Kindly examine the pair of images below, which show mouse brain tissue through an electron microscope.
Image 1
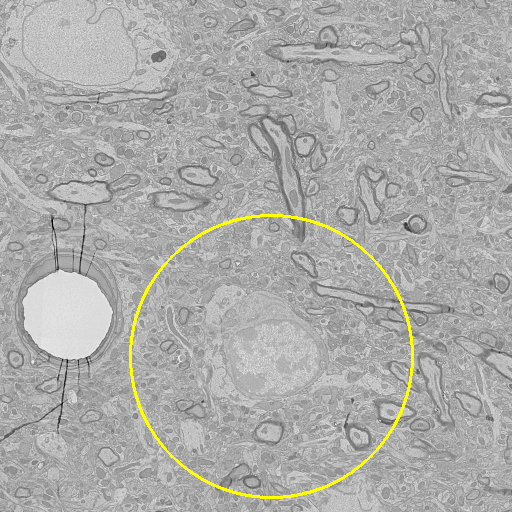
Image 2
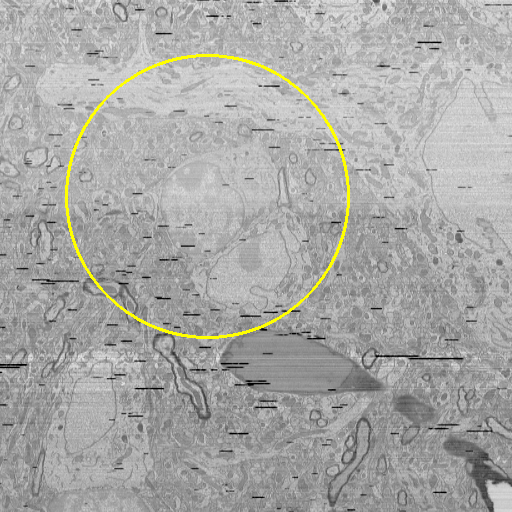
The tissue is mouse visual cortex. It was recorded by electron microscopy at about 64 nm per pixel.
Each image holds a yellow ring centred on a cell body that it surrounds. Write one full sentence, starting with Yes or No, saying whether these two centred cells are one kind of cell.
Yes, both cells at the centres of the yellow rings belong to one kind of cell.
